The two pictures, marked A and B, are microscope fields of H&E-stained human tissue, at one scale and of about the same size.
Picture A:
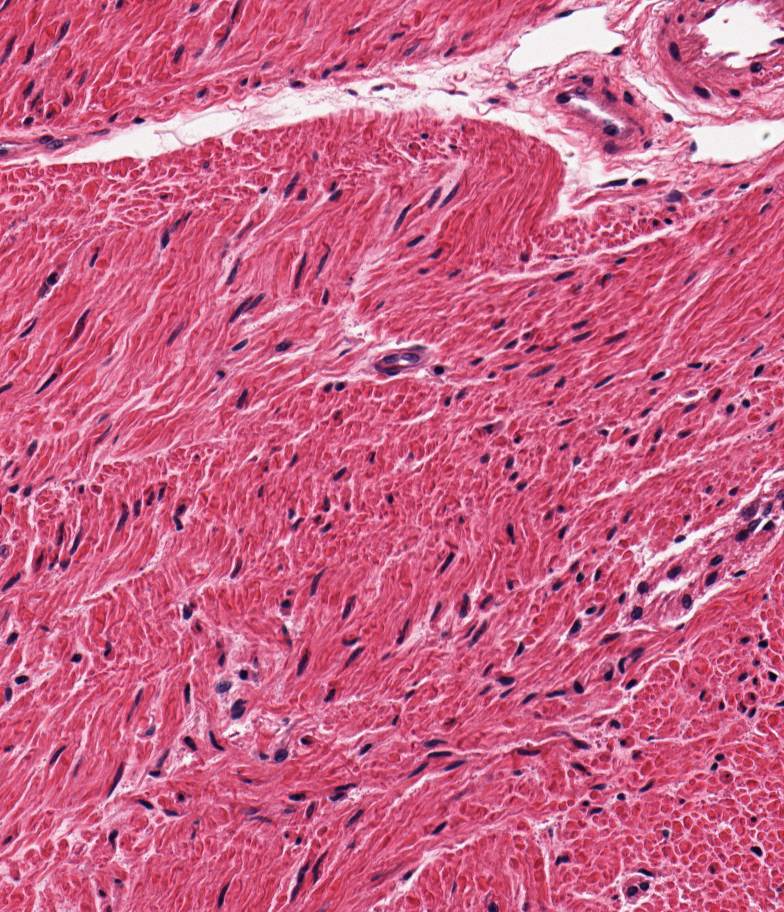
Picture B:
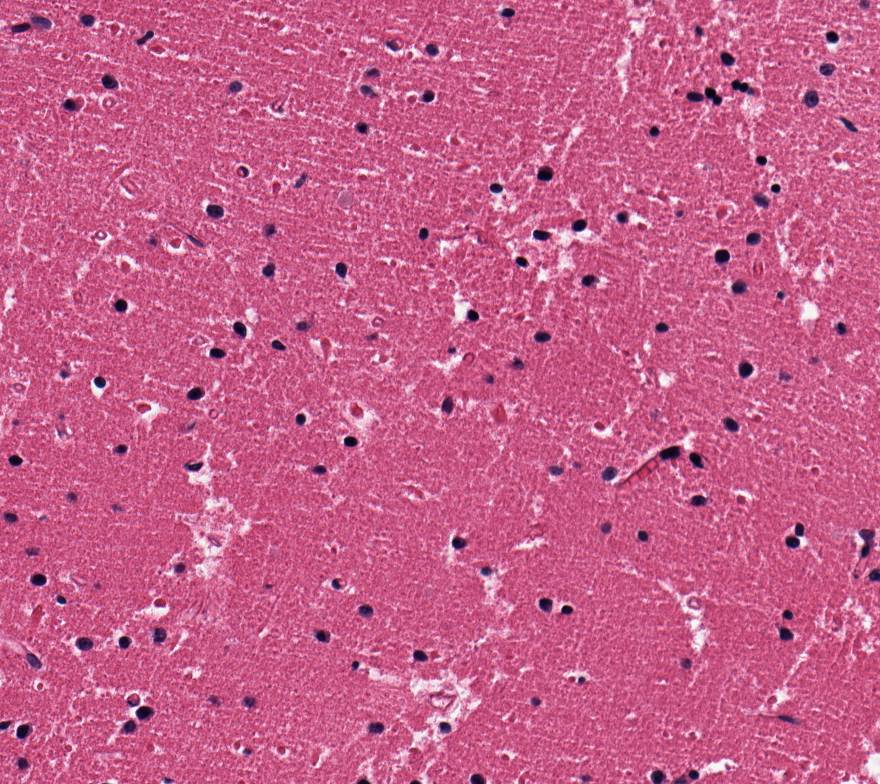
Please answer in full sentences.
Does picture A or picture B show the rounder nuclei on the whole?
Rounder nuclei lie in picture B.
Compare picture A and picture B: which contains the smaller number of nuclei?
There are fewer nuclei in picture B.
